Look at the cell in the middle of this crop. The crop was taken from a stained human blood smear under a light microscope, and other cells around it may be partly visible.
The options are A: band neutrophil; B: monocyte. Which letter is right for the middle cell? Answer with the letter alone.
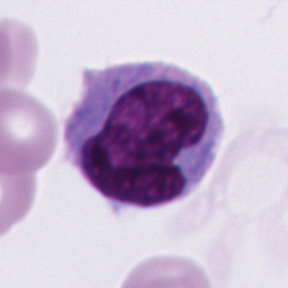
B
